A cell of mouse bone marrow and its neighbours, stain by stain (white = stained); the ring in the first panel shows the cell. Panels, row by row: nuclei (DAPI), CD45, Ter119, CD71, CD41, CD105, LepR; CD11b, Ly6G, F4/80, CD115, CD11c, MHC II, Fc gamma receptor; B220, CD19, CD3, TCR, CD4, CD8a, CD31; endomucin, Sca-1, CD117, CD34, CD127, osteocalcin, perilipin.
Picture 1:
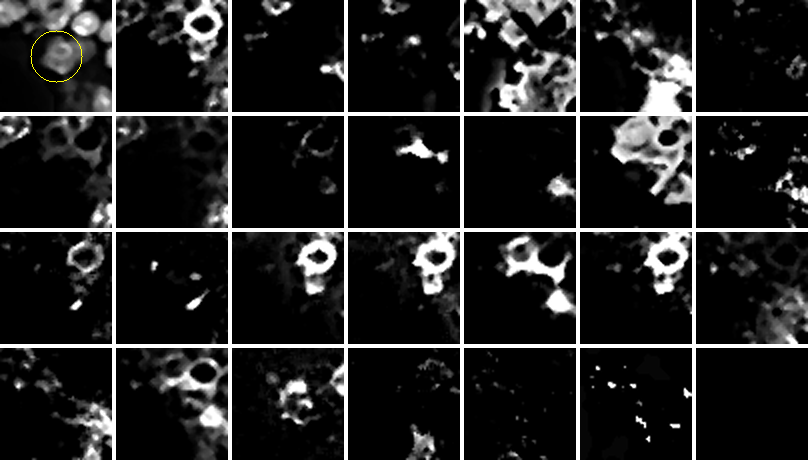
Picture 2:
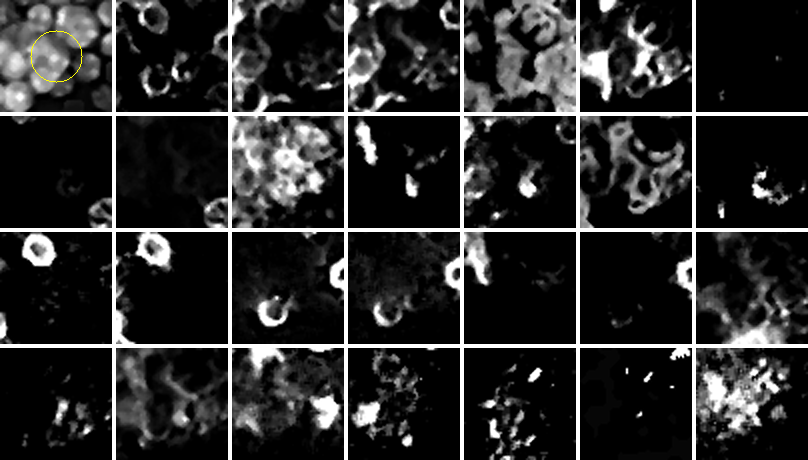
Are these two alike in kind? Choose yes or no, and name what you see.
Yes. KLS stem or progenitor cells.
